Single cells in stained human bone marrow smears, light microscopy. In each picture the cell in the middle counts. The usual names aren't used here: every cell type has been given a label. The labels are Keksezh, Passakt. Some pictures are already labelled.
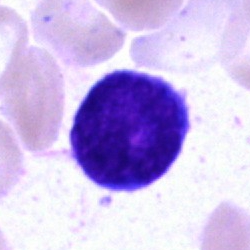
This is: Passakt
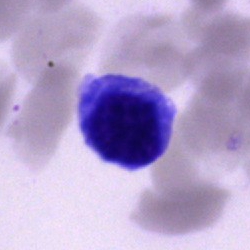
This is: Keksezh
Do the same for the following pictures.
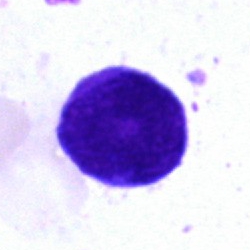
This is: Passakt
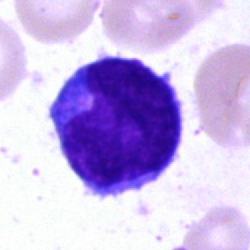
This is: Passakt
